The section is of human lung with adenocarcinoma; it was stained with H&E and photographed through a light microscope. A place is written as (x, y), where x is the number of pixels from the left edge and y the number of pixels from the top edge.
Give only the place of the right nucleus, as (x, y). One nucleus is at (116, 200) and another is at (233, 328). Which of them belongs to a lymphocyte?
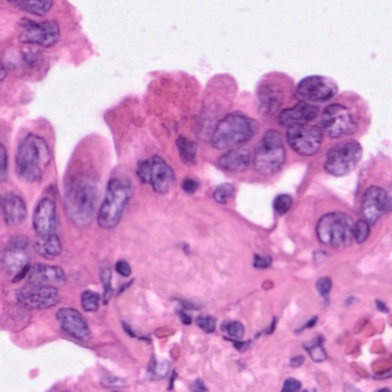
(233, 328)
